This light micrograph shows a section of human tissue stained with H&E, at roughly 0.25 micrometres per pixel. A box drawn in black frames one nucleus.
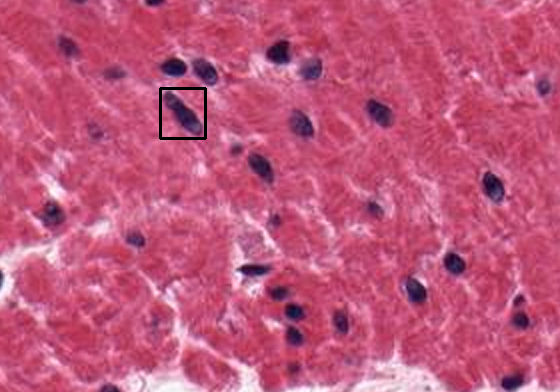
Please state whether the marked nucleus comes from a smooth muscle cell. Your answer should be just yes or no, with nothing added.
yes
